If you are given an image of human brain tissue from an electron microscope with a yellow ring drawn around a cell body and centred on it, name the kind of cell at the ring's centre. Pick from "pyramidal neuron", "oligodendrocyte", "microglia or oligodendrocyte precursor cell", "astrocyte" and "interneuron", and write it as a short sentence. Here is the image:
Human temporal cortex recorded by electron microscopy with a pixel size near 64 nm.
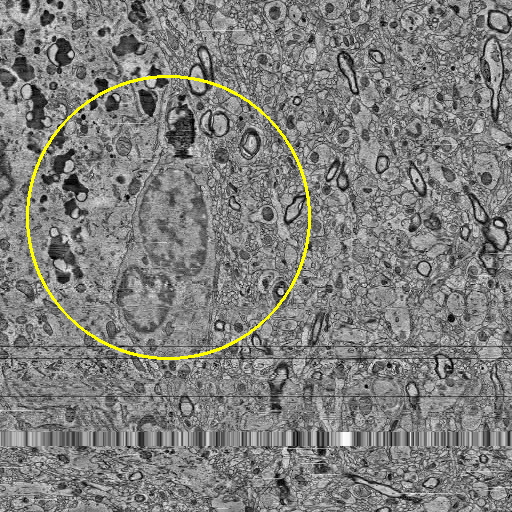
The cell at the ring's centre is an oligodendrocyte.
